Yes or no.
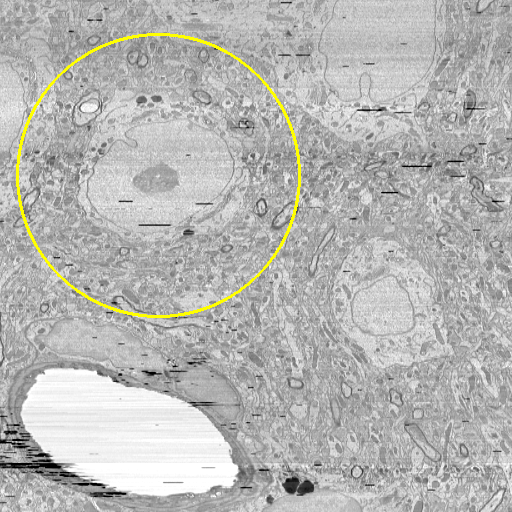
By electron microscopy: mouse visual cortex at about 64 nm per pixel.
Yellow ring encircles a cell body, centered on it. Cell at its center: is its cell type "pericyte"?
no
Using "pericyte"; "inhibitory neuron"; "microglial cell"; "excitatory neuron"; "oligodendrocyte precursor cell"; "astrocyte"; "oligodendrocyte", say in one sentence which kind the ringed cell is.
Here, the ring is centred on an excitatory neuron instead.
